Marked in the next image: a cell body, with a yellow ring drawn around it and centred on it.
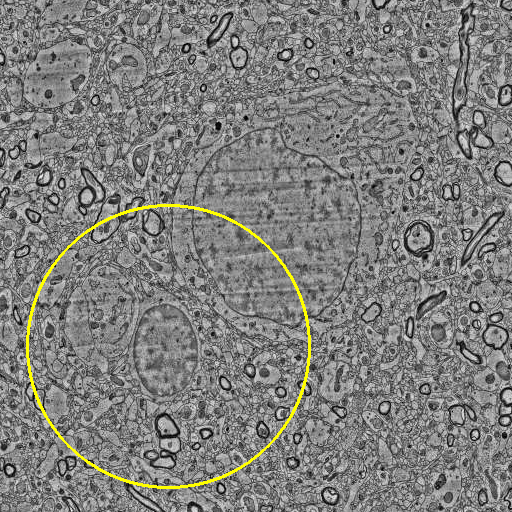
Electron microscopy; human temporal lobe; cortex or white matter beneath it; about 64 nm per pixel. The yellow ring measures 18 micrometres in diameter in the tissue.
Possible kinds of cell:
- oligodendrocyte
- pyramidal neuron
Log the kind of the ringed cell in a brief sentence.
The ringed cell body is that of an oligodendrocyte.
